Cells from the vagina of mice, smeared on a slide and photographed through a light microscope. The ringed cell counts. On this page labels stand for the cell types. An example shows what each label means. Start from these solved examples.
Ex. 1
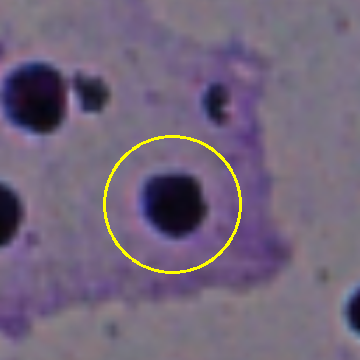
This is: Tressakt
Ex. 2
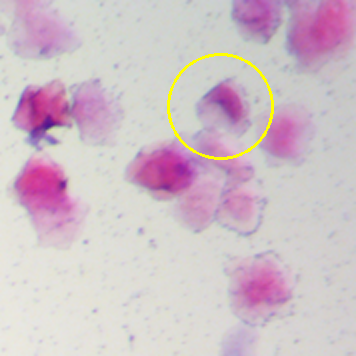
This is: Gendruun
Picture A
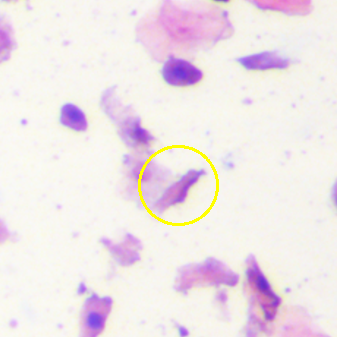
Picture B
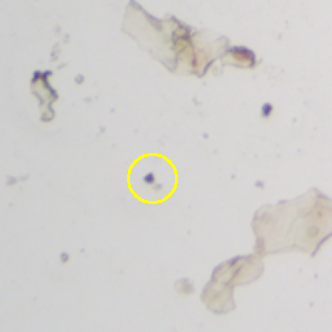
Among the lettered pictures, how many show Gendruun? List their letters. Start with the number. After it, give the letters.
Count: 1 (A)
